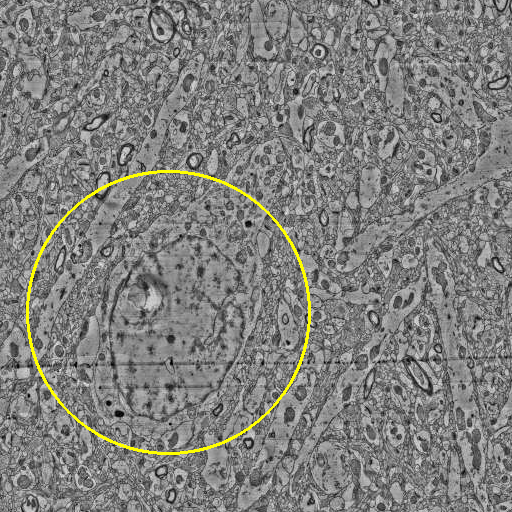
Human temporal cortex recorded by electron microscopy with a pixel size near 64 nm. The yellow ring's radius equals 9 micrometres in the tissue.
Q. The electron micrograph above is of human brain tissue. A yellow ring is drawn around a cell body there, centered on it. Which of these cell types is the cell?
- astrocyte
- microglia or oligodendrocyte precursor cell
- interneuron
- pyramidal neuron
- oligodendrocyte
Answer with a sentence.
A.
The cell under the ring's center is an interneuron.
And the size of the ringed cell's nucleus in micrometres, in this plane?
The nucleus measures about 12 by 8 micrometres in this plane.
